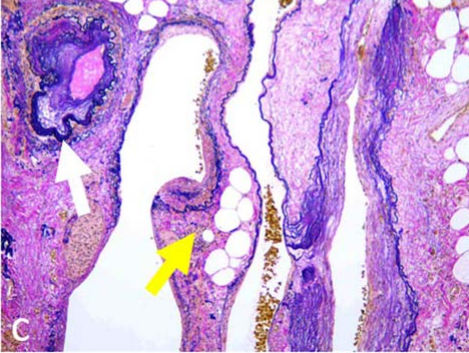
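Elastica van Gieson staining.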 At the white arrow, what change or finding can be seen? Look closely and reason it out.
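The arrow points to a round vessel with a thick, layered wall.
Thickening wall of arteries.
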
